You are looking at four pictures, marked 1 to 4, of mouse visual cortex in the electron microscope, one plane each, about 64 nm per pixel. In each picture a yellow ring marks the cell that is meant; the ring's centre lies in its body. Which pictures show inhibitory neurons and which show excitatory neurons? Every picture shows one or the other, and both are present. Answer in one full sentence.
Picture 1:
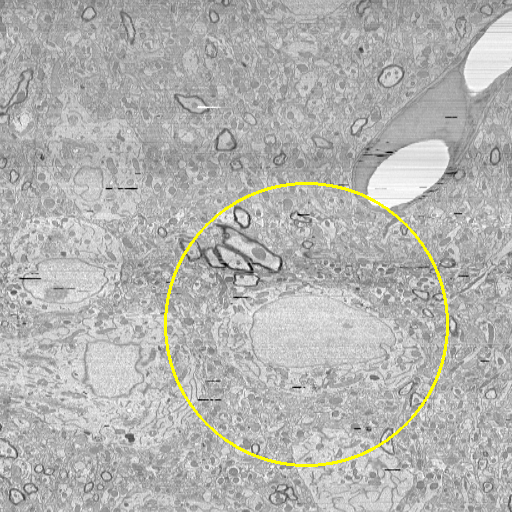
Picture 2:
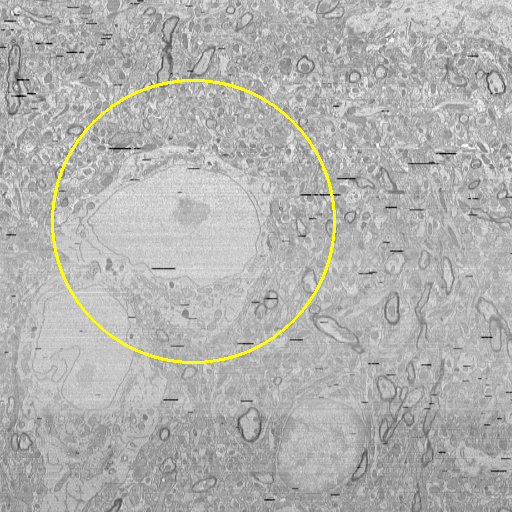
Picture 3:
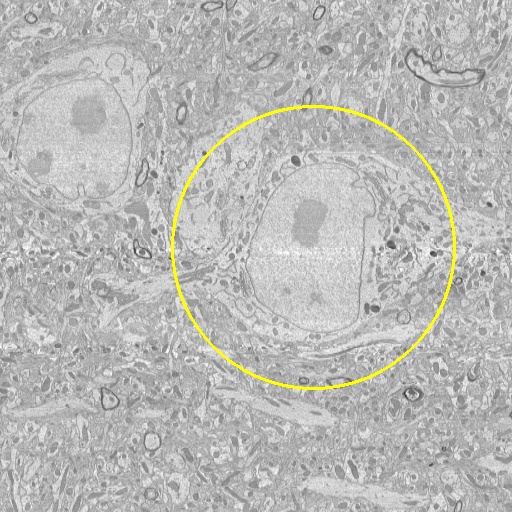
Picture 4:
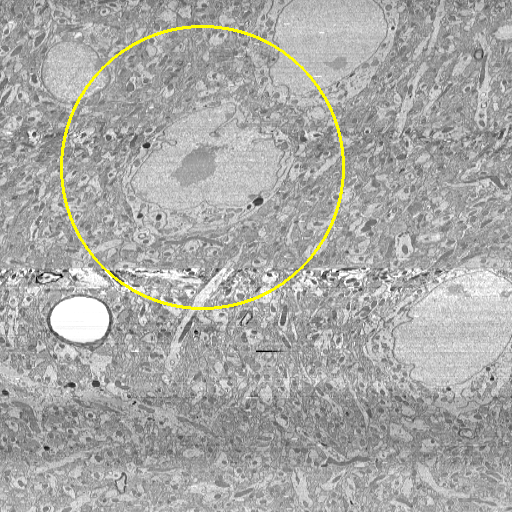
Pictures 1, 3 and 4 show inhibitory neurons, and picture 2 shows an excitatory neuron.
